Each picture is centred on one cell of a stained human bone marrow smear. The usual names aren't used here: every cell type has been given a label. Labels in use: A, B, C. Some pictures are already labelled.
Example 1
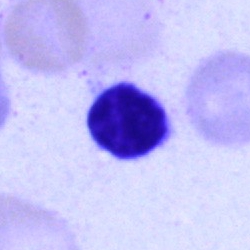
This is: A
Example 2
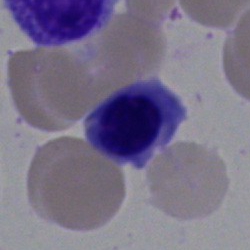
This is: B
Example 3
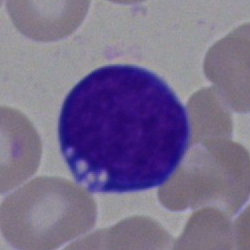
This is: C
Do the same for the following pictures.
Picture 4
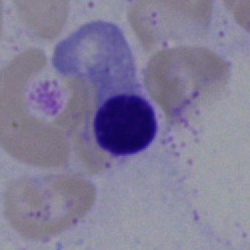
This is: B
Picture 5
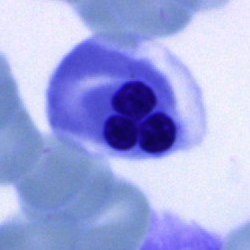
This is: B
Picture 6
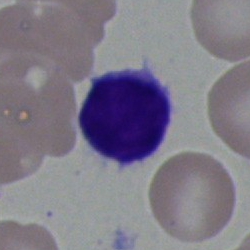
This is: A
